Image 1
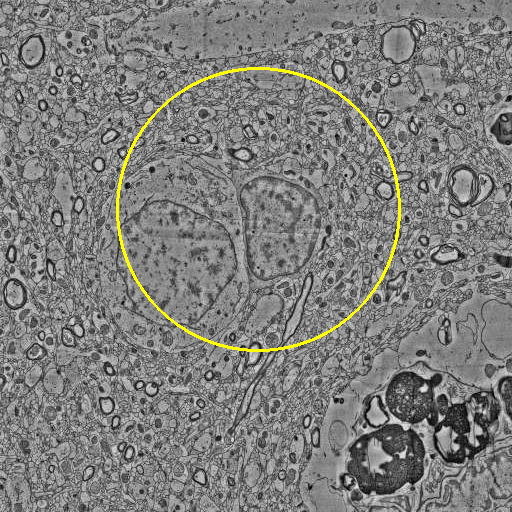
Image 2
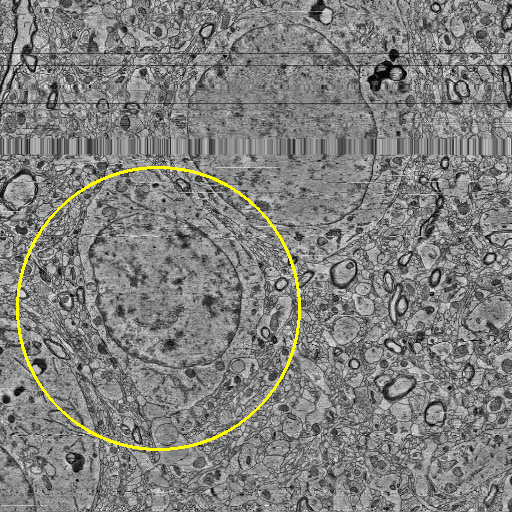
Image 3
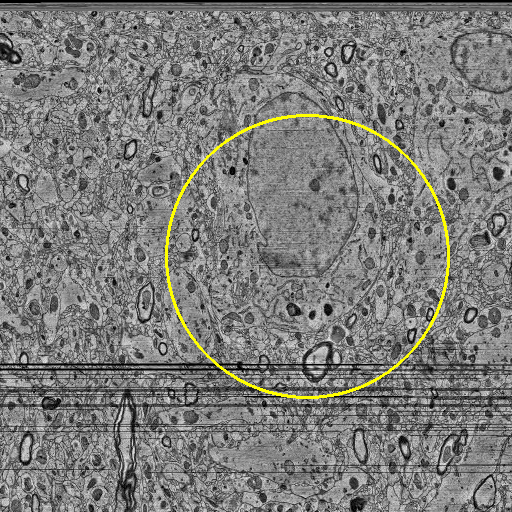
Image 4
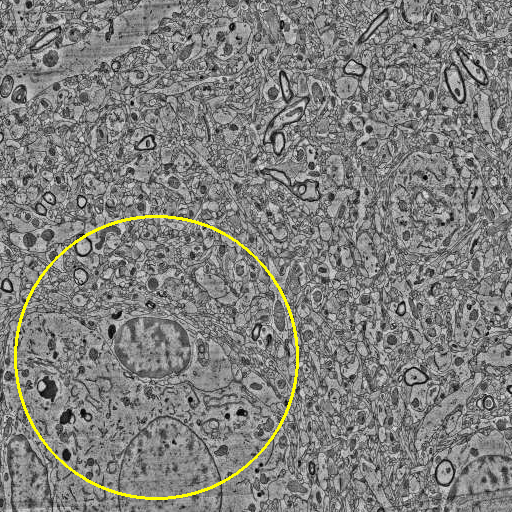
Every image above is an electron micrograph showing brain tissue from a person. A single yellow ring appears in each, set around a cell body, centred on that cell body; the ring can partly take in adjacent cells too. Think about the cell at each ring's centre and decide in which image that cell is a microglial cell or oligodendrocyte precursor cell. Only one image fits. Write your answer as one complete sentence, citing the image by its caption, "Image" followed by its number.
Image 4 is the one whose ringed central cell fits the description.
